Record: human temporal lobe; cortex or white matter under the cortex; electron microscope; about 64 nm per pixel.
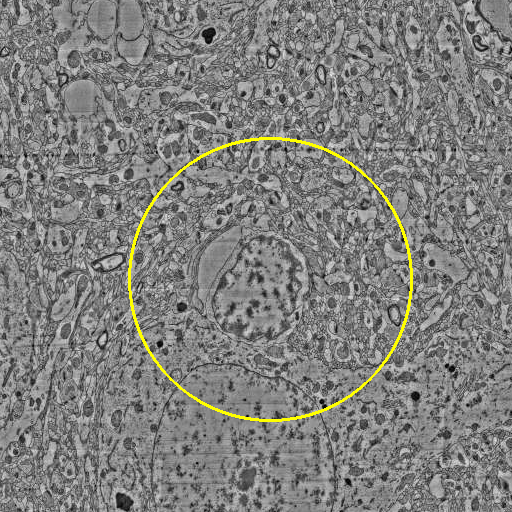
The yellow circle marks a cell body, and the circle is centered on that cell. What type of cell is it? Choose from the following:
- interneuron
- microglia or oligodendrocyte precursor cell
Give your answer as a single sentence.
This cell body belongs to an interneuron.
